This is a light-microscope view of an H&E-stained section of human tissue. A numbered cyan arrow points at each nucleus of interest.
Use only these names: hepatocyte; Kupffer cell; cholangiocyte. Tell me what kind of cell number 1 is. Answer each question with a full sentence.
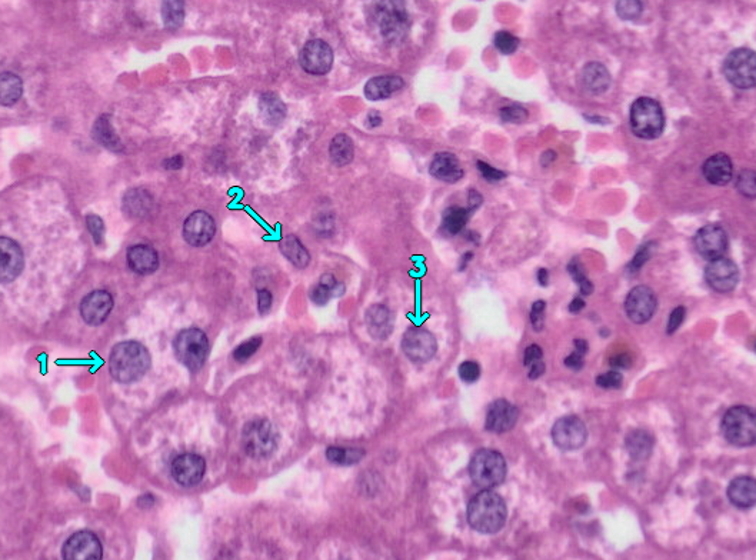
The numeral 1 marks a hepatocyte in this section.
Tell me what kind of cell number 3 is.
Cell 3 in the field is a hepatocyte.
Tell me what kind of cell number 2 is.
Numbered cell 2 is a Kupffer cell in this tissue section.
